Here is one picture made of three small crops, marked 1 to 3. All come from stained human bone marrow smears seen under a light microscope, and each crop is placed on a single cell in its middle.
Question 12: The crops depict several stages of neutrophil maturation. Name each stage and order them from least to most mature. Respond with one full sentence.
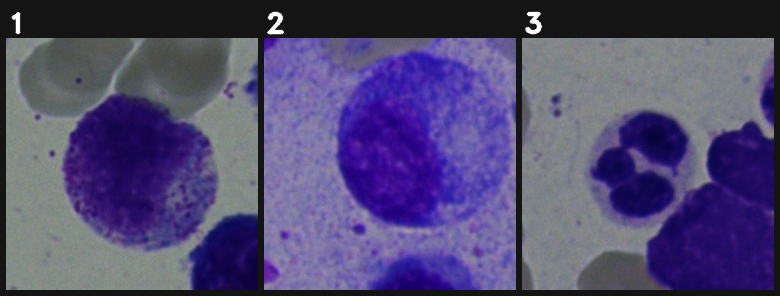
Along the maturation line, from least to most mature, sit crop 2 (a promyelocyte), crop 1 (a myelocyte) and crop 3 (a segmented neutrophil).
